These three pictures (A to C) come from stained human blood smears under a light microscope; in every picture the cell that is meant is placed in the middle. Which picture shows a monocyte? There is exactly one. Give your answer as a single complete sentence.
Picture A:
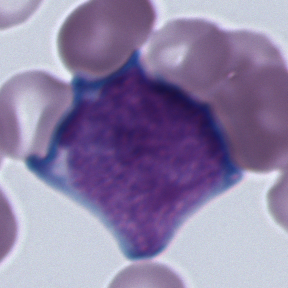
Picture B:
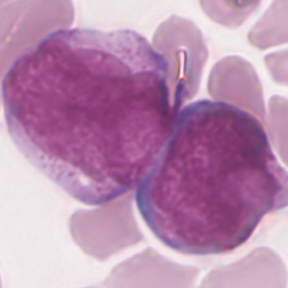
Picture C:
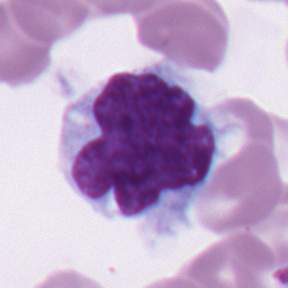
Picture C shows the monocyte.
